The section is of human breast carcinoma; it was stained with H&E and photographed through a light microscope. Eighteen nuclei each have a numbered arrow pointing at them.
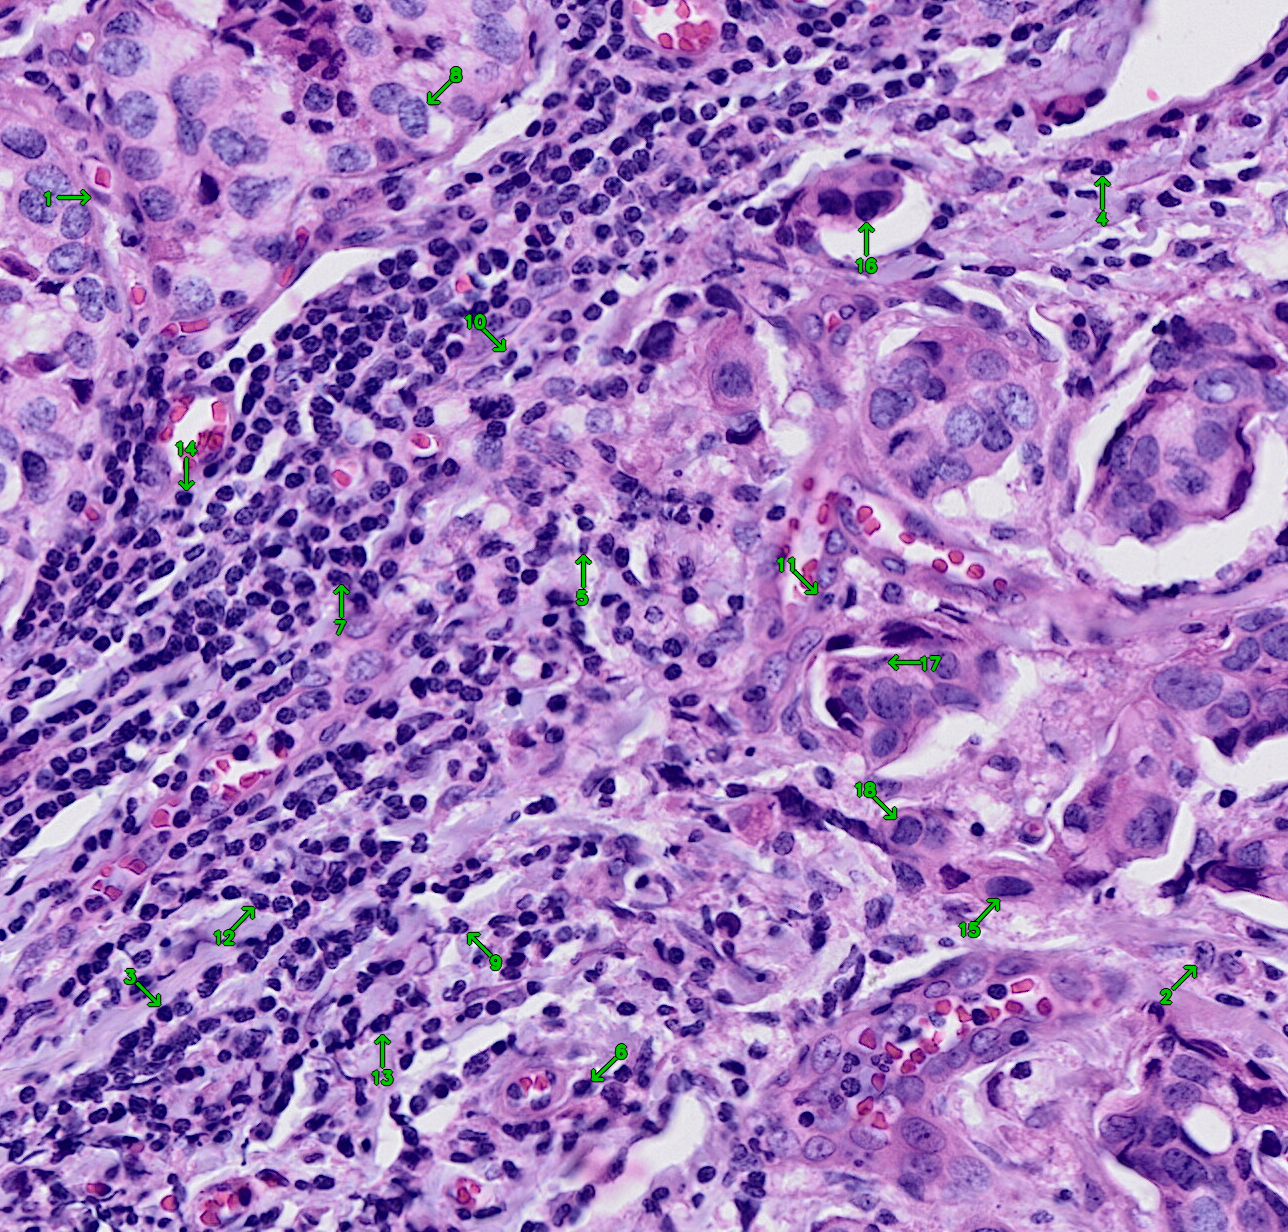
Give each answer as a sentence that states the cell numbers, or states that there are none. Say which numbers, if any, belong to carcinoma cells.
Cells 8, 15, 16, 17 and 18 share one type; they are carcinoma cells.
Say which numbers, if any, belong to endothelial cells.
The cells to which the numbers 1 and 11 refer are endothelial cells.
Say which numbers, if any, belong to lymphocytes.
Regarding the numbered cells 3, 4, 5, 6, 7, 9, 10, 12, 13 and 14, these are lymphocytes.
